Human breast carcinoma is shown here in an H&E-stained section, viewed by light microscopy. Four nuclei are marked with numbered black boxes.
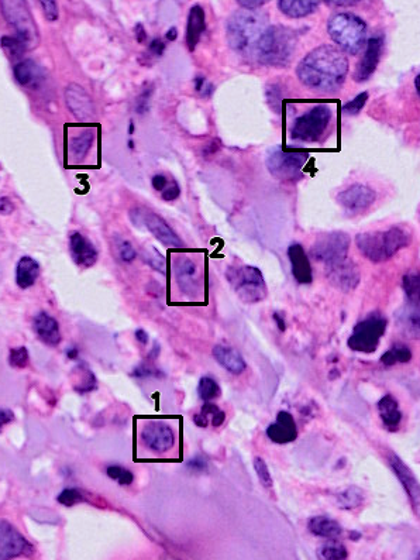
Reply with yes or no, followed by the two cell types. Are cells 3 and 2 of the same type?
Yes, both are endothelial cells.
